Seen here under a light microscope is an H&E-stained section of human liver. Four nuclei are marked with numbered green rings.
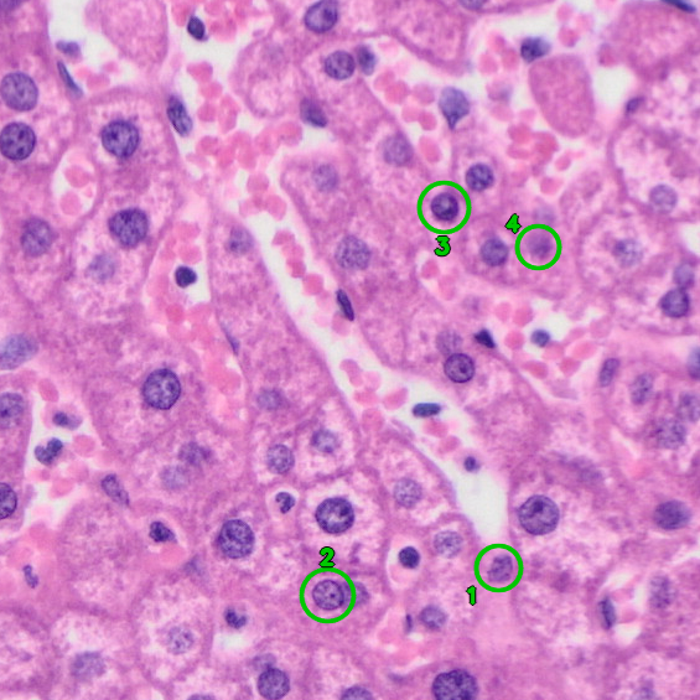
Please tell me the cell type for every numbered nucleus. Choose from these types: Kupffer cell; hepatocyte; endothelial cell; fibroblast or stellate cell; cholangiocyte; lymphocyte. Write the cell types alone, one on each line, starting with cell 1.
endothelial cell
hepatocyte
hepatocyte
hepatocyte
